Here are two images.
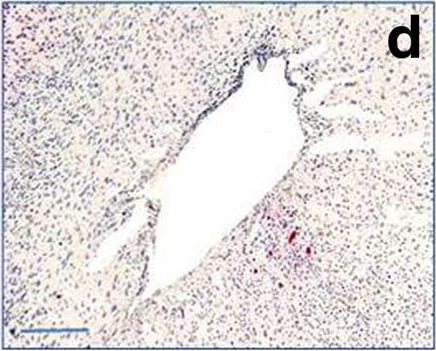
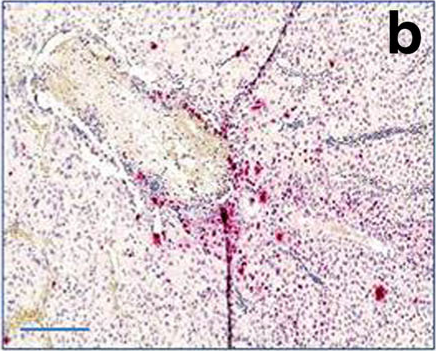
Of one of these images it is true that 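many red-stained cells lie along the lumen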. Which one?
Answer: the second image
